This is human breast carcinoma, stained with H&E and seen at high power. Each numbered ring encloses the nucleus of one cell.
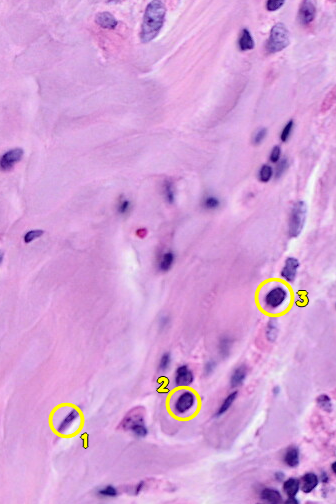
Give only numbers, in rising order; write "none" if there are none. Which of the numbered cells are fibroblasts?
1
